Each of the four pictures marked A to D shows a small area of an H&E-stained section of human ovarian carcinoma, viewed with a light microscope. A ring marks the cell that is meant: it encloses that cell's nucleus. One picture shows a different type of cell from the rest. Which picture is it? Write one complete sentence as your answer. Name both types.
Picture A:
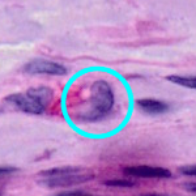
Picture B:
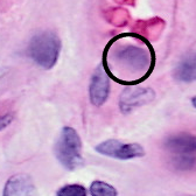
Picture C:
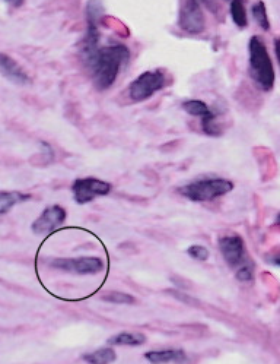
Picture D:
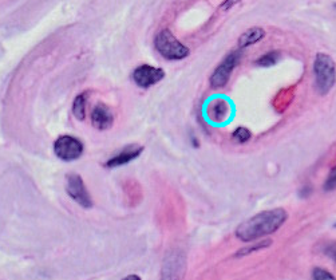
Unlike the rest, which show endothelial cells, picture C shows a fibroblast.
